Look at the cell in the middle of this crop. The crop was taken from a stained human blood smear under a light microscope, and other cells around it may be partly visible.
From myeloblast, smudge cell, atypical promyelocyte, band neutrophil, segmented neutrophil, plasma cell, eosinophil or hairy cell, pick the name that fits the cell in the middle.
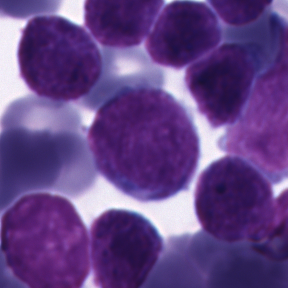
myeloblast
